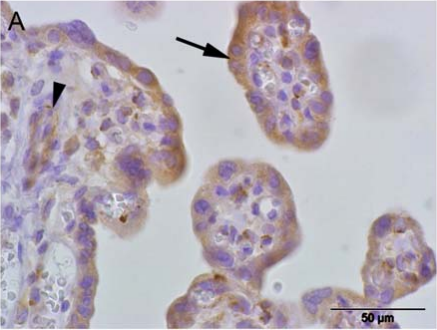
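Cross-sections of chorionic villi show an outer trophoblast covering around a loose stromal core with small capillaries. The outermost syncytiotrophoblast forms a continuous, pale brown layer with many nuclei and no cell borders, and single cuboidal cytotrophoblasts lie beneath it. The stroma contains scattered blue nuclei of stromal cells and thin-walled capillaries lined by flattened endothelial cells, some of them faintly brown.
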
